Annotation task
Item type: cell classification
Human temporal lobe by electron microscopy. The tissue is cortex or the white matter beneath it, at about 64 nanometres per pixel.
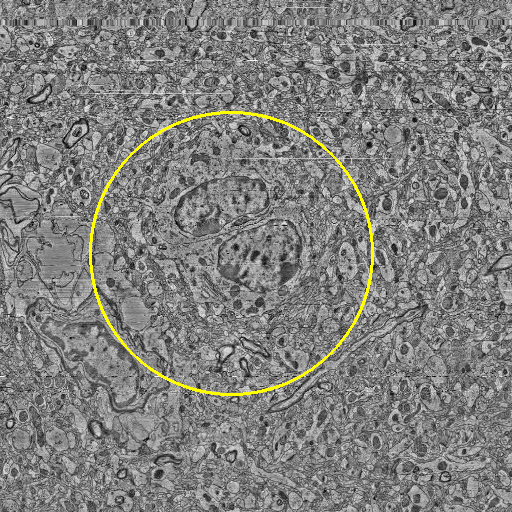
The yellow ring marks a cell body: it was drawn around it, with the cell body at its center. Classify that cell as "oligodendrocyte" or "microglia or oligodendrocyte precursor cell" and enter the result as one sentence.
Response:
The ring's center falls on a microglial cell or oligodendrocyte precursor cell.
